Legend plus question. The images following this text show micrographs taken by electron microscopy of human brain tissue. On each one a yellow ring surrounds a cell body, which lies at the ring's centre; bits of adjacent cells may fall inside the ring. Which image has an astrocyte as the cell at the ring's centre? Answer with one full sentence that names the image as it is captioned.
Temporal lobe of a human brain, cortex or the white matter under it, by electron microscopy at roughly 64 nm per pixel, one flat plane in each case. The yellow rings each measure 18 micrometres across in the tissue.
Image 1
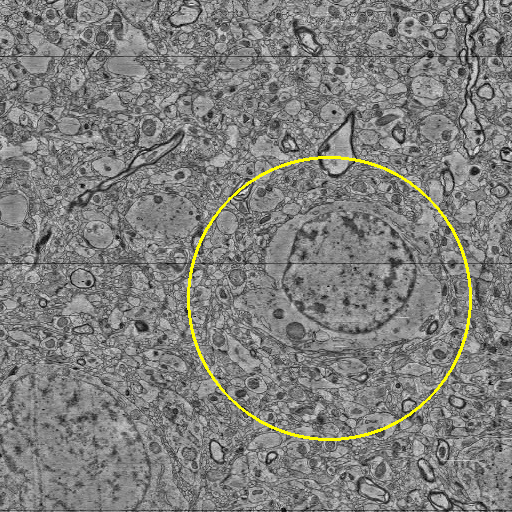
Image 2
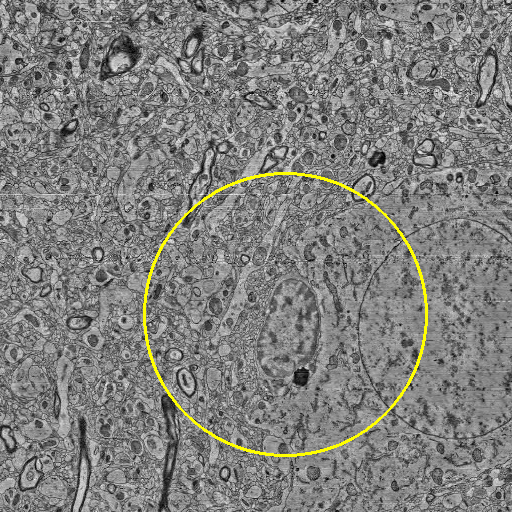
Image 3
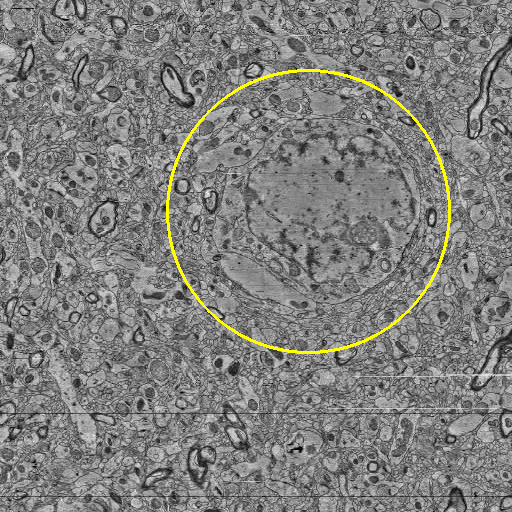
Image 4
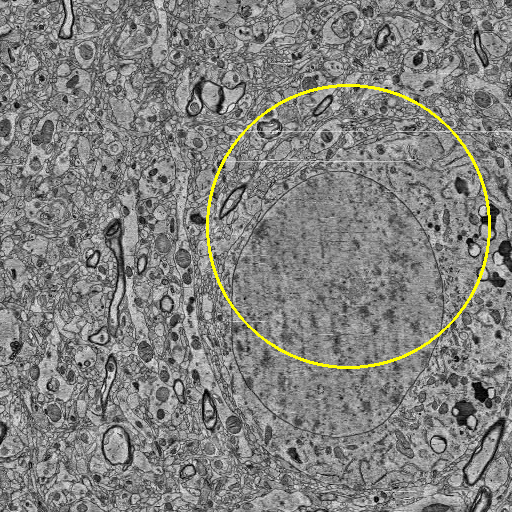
The centred cell that was asked for is the one in Image 1.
